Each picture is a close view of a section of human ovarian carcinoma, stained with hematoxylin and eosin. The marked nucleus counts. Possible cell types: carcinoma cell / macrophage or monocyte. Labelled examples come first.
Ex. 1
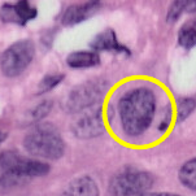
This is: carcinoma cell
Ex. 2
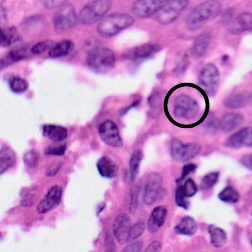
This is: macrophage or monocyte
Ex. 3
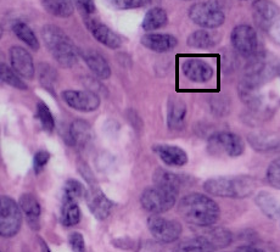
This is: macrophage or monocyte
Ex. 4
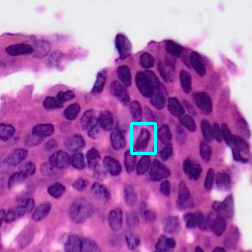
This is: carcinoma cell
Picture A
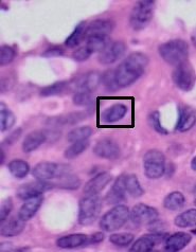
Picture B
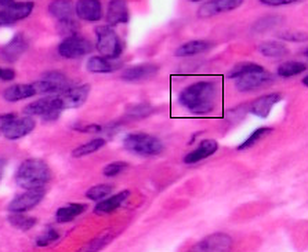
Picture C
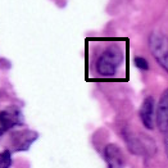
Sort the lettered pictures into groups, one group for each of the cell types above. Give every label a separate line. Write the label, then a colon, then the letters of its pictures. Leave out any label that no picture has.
macrophage or monocyte: A, B, C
